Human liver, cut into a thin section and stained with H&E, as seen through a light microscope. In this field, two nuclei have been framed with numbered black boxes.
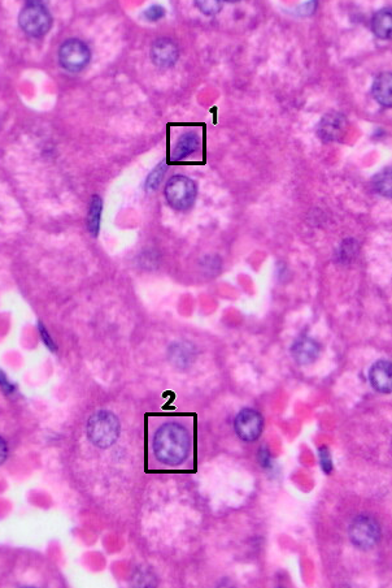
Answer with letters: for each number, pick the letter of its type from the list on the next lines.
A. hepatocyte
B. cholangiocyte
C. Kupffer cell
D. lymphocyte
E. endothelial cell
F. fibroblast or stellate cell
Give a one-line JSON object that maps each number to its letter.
{"1": "F", "2": "A"}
